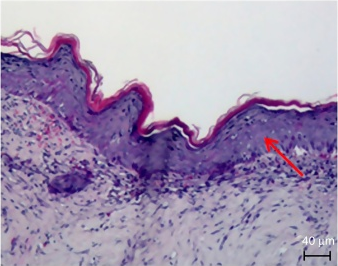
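This is skin with an epidermis forming a thick band of densely packed, purple-staining cells along an undulating surface. Thin pink layered keratin lies on top of the cellular band. Beneath it the dermis is paler, with loosely arranged pink fibres and scattered small dark nuclei.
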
